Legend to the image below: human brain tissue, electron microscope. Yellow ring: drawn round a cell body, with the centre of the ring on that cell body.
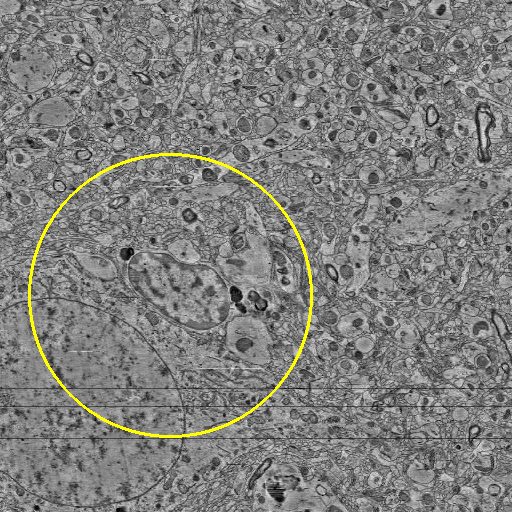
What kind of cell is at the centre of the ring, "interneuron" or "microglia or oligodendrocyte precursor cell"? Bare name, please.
microglia or oligodendrocyte precursor cell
